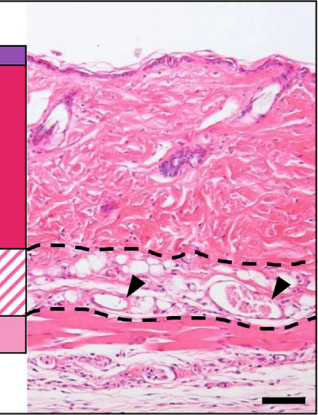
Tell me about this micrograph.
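This is skin stained pink and purple, with a thin epidermis at the top, a thick dense dermis beneath it, then a looser subcutis and a band of muscle at the bottom. The subcutis is loose, with many round empty spaces and small vessels whose thin walls enclose pink contents. Below it, the muscle forms a smooth, deeper pink band running across the section.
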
